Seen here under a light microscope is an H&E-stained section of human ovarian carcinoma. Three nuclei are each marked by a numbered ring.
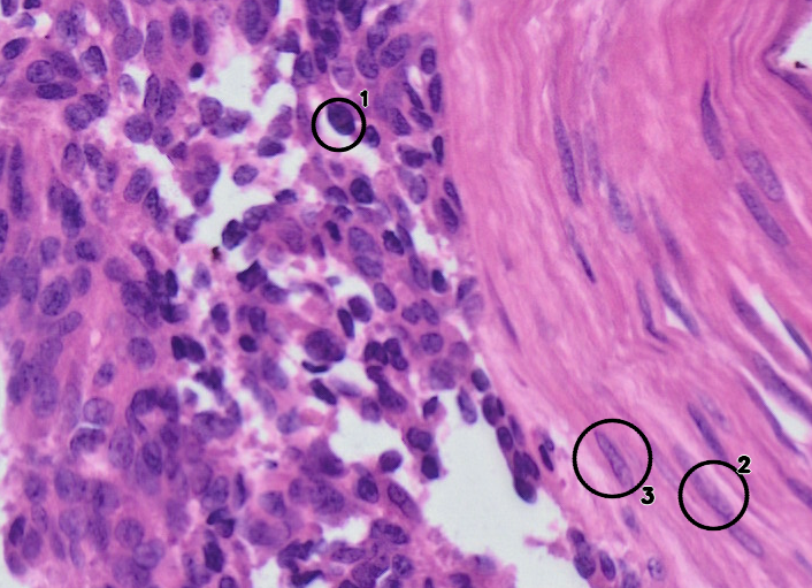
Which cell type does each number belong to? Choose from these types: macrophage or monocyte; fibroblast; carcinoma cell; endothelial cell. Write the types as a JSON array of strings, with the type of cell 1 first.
["carcinoma cell", "fibroblast", "fibroblast"]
